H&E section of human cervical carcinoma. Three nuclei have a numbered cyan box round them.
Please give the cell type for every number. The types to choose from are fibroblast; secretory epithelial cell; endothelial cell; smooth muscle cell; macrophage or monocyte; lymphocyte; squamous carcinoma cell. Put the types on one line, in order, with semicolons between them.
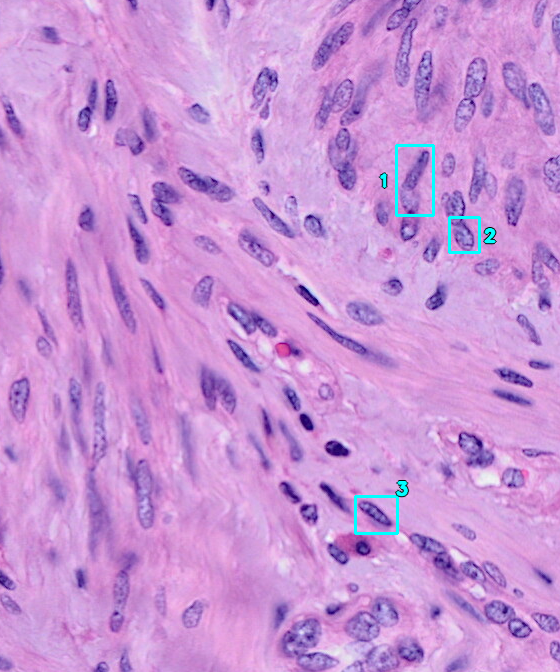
smooth muscle cell; smooth muscle cell; endothelial cell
